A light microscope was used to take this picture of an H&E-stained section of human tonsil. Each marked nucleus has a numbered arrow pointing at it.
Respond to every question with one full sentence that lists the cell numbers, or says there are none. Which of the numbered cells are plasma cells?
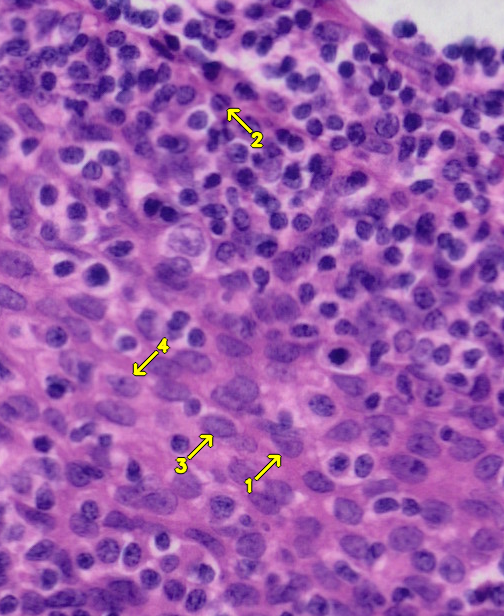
Cell 2 is the only numbered cell that is a plasma cell.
